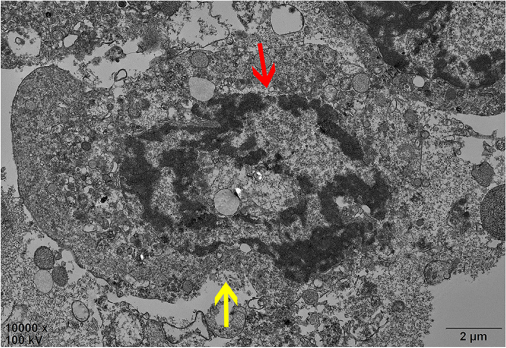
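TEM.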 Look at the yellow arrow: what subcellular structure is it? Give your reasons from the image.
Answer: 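The arrow points to the outer border of the cell. The cell border faces a pale extracellular space.
Conclusion: plasma membranes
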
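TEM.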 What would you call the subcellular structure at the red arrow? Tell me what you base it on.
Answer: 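Nuclear membranes. The arrow points to the edge of the nucleus. Dark clumped chromatin lies along an irregular, ill-defined nuclear border.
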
